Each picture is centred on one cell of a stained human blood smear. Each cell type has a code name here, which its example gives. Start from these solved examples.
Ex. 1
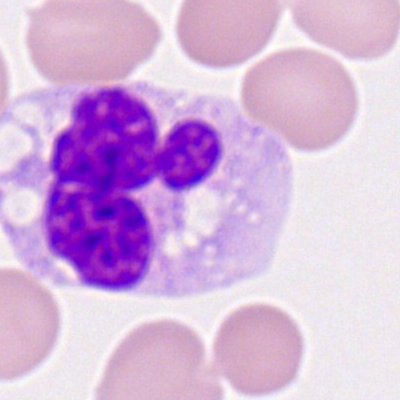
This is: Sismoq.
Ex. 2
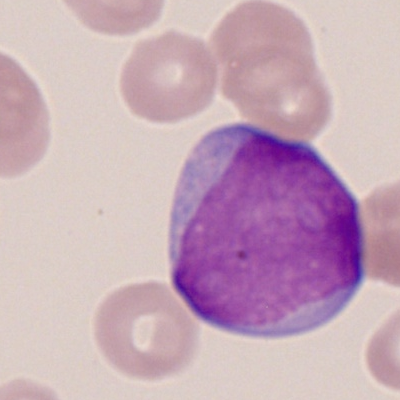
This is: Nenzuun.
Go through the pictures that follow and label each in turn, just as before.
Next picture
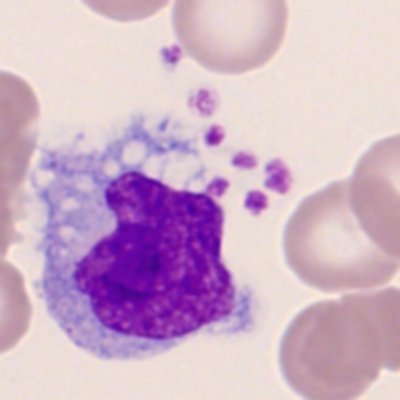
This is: Sismoq.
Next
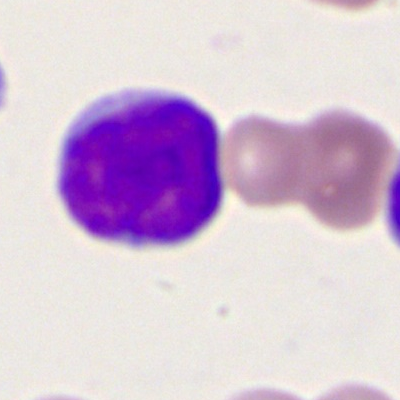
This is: Nenzuun.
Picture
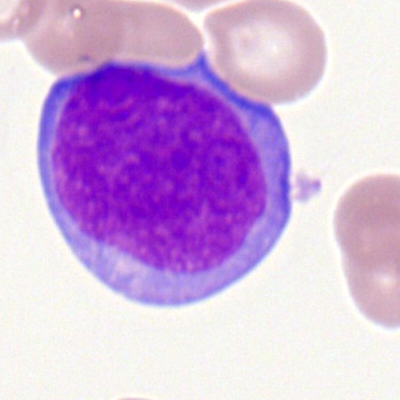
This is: Nenzuun.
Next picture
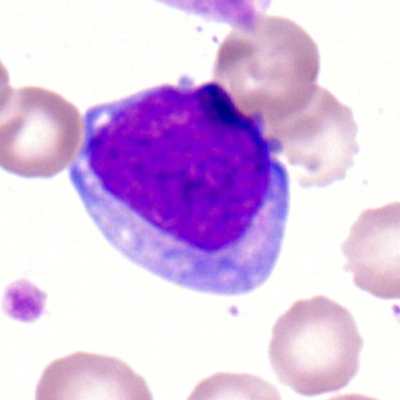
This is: Nenzuun.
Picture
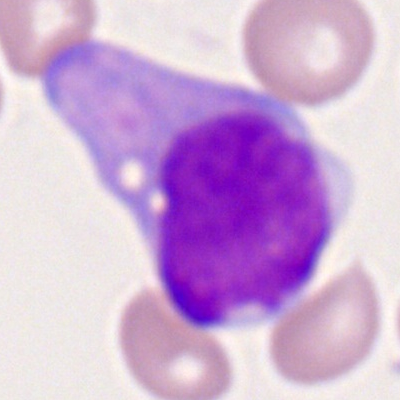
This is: Sismoq.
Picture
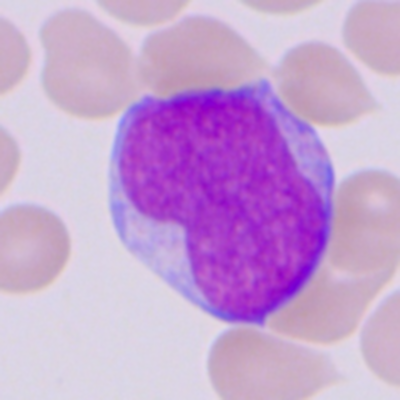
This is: Nenzuun.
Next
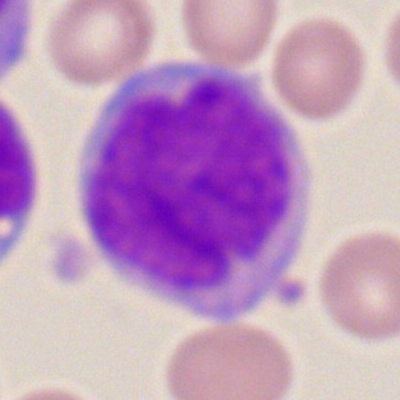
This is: Sismoq.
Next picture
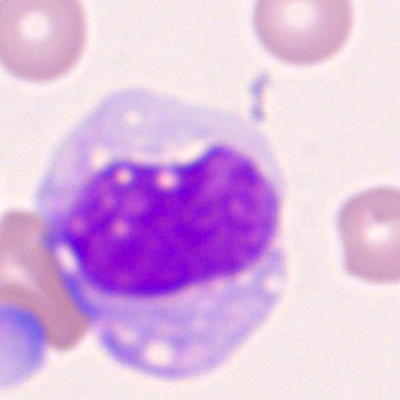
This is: Sismoq.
